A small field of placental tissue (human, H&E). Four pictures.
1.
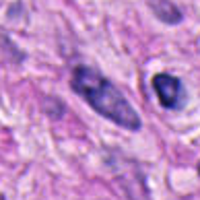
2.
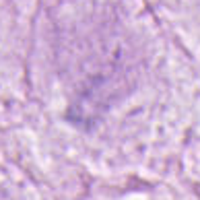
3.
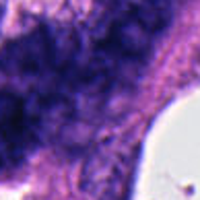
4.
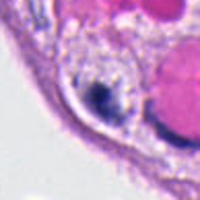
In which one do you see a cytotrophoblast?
In picture 4.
